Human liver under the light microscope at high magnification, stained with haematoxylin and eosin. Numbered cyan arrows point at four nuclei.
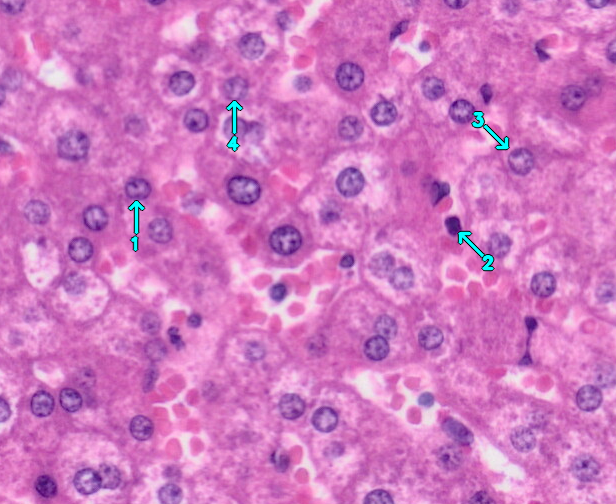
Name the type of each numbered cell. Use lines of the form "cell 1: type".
cell 1: hepatocyte
cell 2: lymphocyte
cell 3: hepatocyte
cell 4: hepatocyte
